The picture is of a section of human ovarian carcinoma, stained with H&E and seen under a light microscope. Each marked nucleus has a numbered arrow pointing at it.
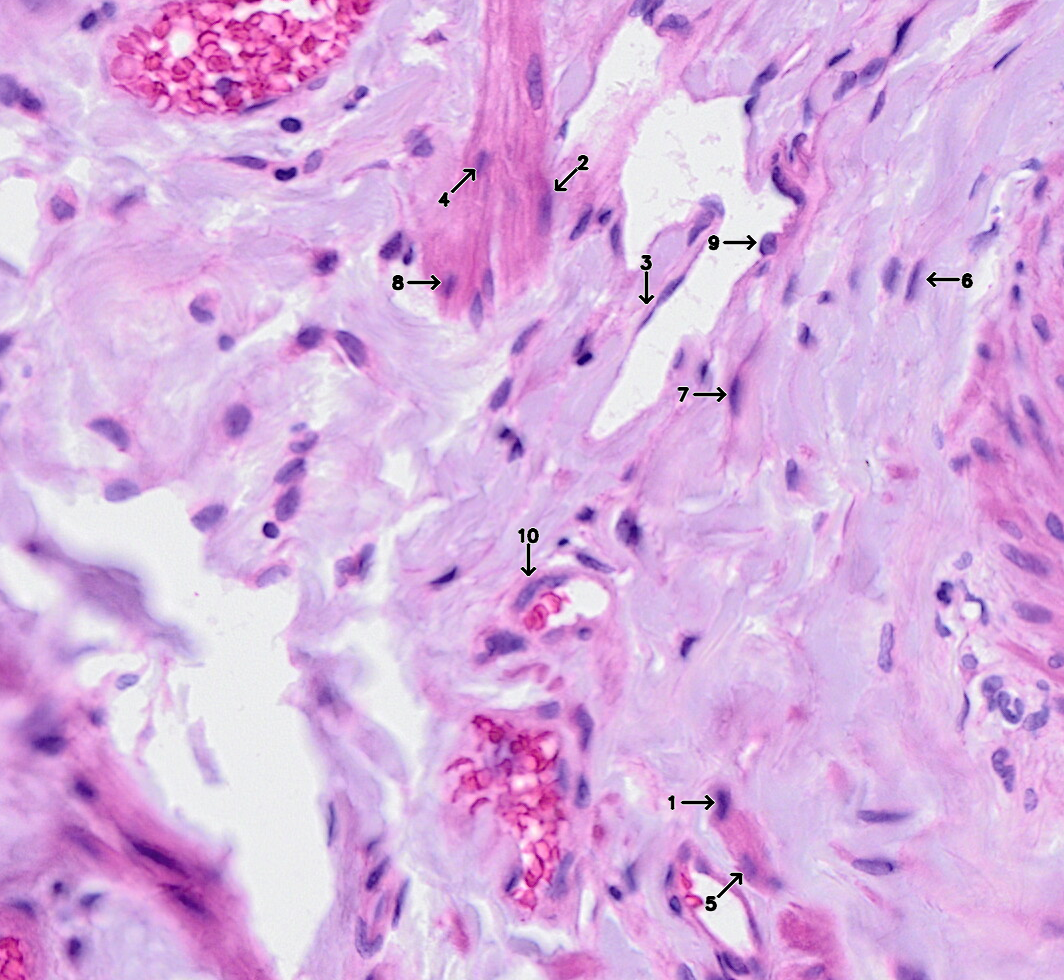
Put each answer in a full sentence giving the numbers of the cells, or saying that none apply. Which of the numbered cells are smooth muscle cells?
The cells the numbers 1, 2, 4, 5 and 8 point to are smooth muscle cells.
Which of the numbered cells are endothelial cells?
The cells that bear the numbers 3, 7, 9 and 10 are endothelial cells.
